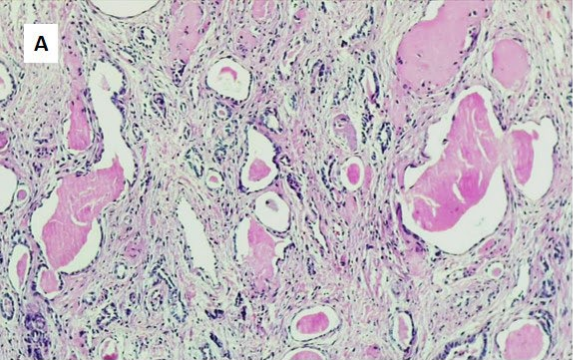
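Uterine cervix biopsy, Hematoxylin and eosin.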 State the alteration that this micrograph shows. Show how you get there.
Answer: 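Tubules are lined by a single flat to low columnar epithelial layer. Lumina hold dense pink secretion. That points to this answer: florid mesonephric hyperplasia.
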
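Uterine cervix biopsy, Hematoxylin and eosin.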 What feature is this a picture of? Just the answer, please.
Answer: Luminal eosinophilic secretions.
